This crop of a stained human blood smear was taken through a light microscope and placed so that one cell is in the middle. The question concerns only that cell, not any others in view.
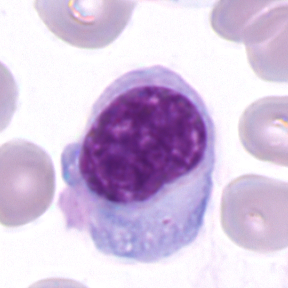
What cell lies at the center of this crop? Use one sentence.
The cell found in the middle of this crop is a plasma cell.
